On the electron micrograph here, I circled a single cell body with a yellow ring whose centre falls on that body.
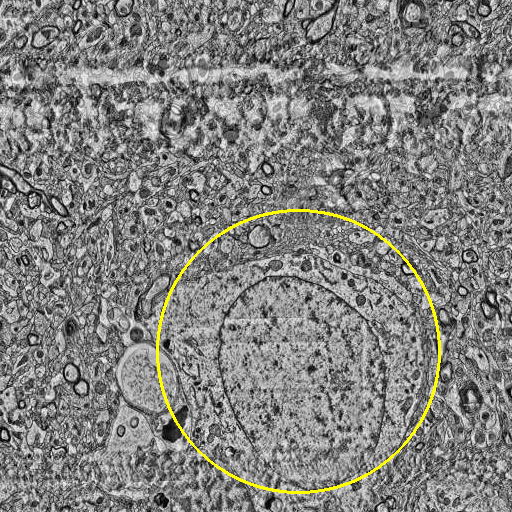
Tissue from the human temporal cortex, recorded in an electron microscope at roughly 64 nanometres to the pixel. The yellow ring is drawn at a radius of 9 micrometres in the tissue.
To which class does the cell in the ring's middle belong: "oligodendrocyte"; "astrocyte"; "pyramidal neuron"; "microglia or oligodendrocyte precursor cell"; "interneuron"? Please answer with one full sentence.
In this picture, the cell body circled at the ring's centre belongs to a pyramidal neuron.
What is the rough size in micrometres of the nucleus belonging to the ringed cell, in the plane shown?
The nucleus comes to roughly 14 by 10 micrometres in this plane.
